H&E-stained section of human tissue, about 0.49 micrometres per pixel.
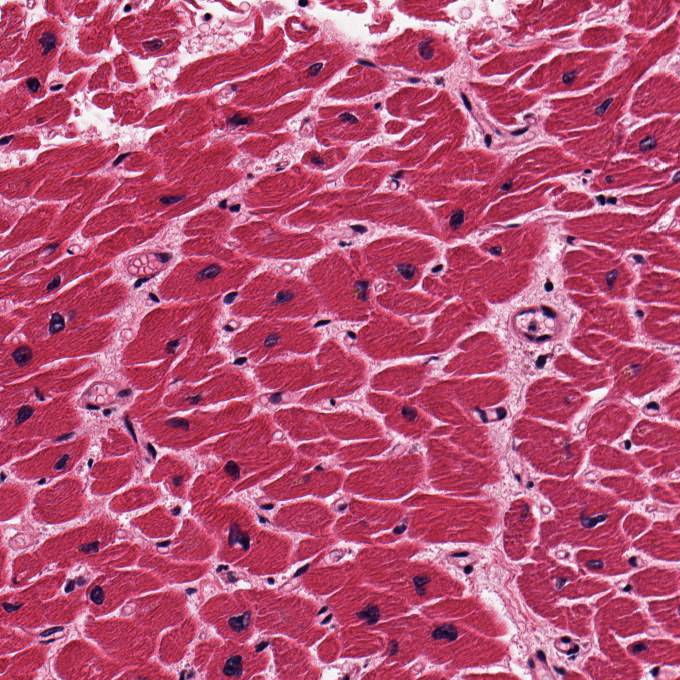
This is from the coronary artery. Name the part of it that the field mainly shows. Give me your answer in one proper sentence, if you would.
The part of the tissue seen in this section is cardiac muscle.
